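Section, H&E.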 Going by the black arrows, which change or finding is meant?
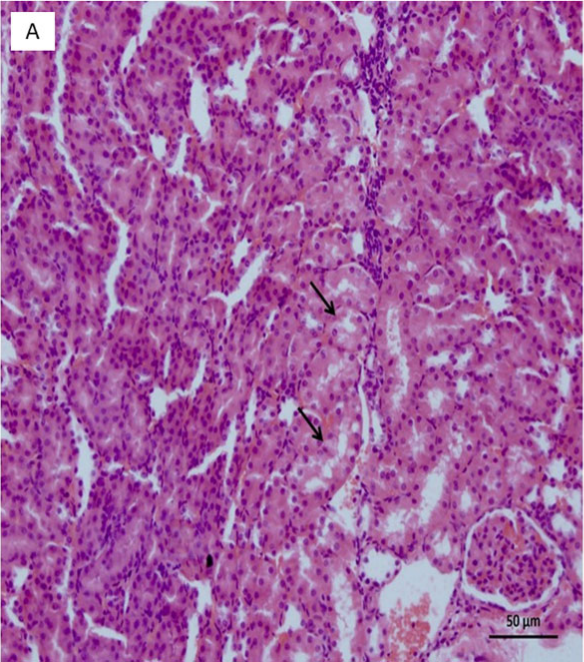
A: Mild swelling of tubule epithelial cells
